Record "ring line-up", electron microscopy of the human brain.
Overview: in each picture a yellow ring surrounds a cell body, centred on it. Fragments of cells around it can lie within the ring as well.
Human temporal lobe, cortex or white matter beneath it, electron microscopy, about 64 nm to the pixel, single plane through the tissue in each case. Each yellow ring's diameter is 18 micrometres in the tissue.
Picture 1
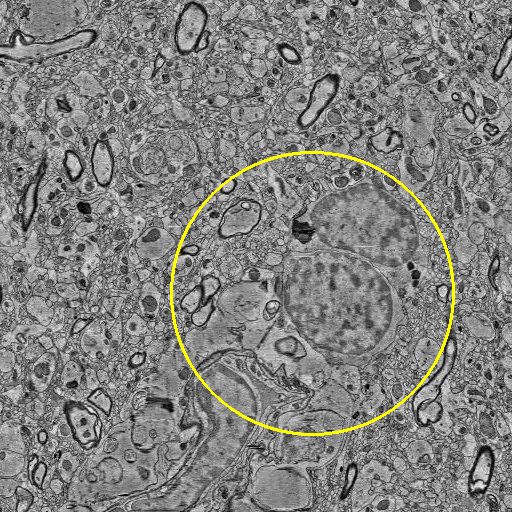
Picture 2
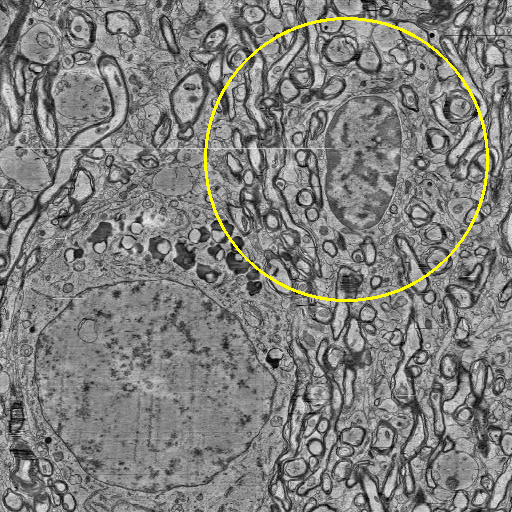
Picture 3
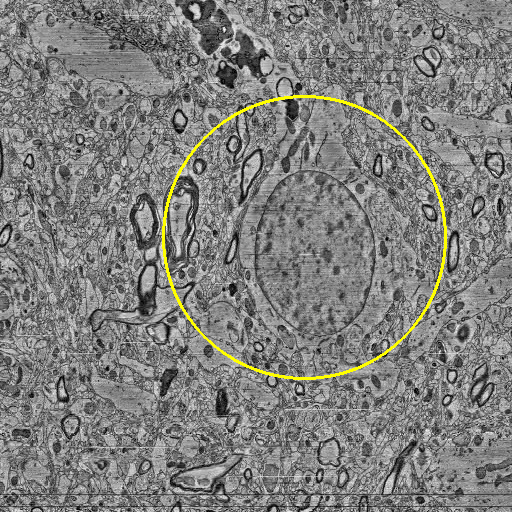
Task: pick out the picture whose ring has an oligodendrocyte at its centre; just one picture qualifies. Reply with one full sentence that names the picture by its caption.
Going by the cell at the ring's centre, the right choice is Picture 1.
